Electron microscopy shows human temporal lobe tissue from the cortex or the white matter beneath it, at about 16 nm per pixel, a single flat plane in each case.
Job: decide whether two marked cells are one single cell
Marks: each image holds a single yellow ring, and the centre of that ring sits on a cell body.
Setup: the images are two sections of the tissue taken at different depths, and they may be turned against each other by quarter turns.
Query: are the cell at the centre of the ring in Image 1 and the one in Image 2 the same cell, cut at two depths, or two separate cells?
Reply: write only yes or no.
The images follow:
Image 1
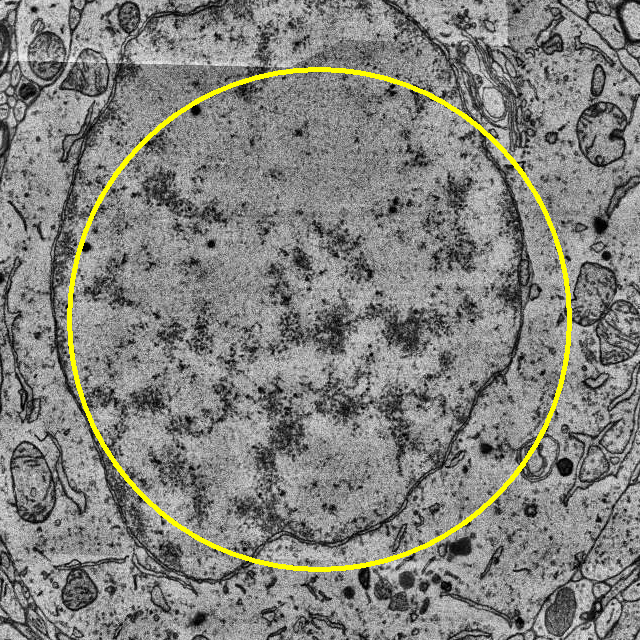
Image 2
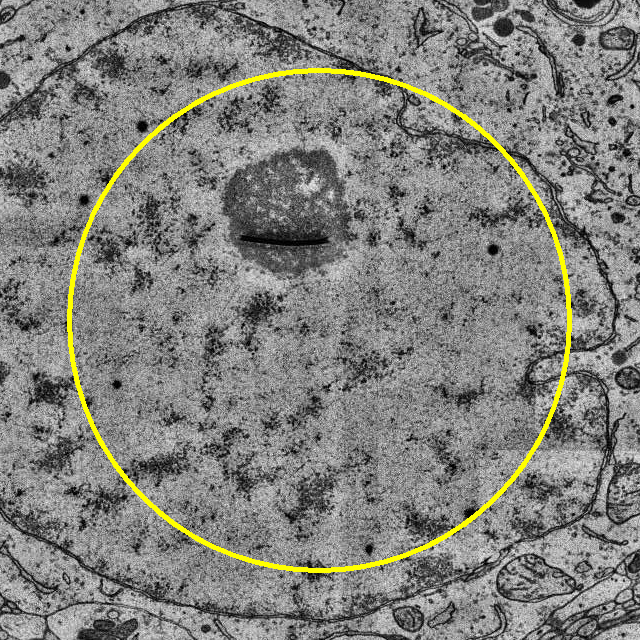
yes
